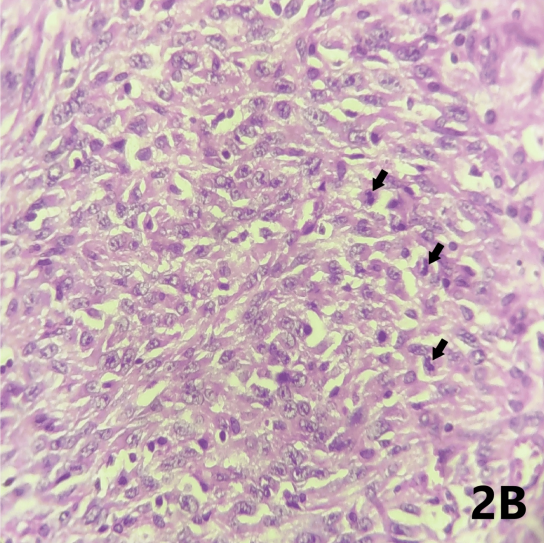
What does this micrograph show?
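This high-power view shows a densely cellular neoplasm of crowded spindle-shaped to oval cells with little space between them. The nuclei are elongated to oval and differ clearly in size and shape, with fine chromatin and visible nucleoli in many of them. Each nucleus sits in pale pink, moderately abundant cytoplasm, and the cells are separated by small clear clefts. Scattered among them are small, very dark, condensed nuclear bodies, which are mitotic figures.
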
